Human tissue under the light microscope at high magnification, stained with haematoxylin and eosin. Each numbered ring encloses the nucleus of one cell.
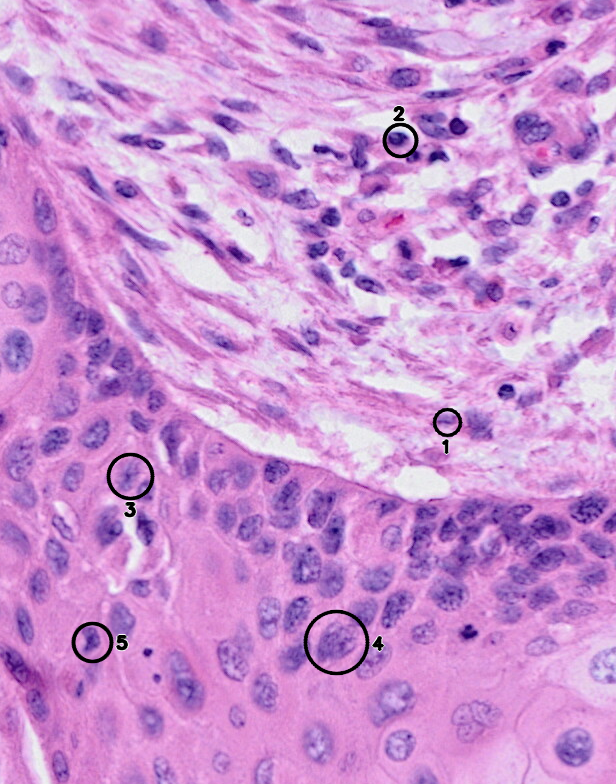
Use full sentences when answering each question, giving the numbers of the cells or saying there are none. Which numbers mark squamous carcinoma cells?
Classified as squamous carcinoma cells are the cells numbered 3, 4 and 5.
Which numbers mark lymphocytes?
Within the set of numbered cells, only number 2 is a lymphocyte.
